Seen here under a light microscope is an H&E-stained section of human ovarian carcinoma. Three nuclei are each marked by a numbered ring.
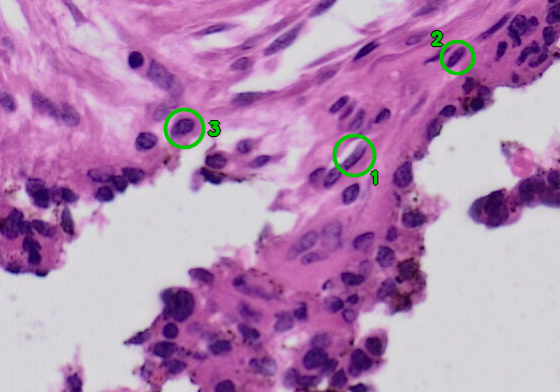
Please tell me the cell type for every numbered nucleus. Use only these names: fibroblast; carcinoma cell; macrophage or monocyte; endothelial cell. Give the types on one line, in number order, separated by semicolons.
endothelial cell; fibroblast; macrophage or monocyte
